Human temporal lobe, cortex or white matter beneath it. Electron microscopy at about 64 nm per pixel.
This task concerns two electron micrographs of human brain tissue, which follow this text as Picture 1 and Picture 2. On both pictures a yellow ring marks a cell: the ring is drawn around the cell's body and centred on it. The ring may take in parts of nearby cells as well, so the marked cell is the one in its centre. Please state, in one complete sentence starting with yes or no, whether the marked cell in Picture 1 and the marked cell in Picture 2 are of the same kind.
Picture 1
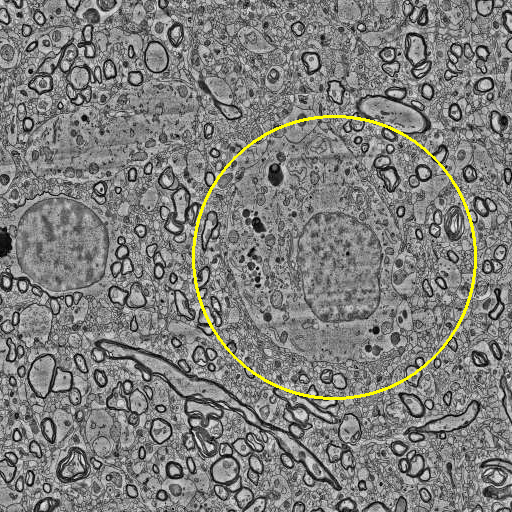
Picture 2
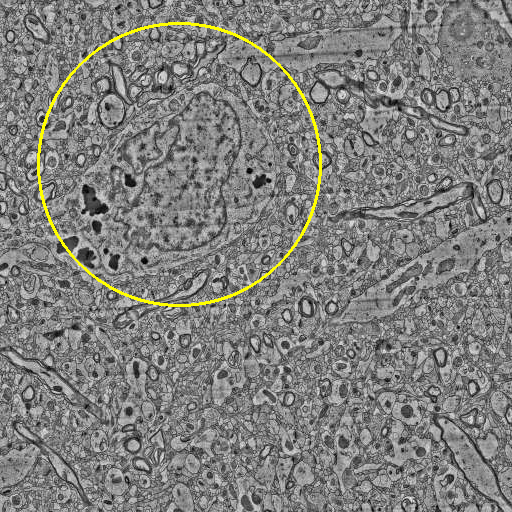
Yes, the marked cells in both pictures are of the same kind.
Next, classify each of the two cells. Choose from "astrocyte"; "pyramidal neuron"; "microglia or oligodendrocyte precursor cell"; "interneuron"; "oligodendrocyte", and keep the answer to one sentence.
Each cell, in the first picture and the second, is an interneuron.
